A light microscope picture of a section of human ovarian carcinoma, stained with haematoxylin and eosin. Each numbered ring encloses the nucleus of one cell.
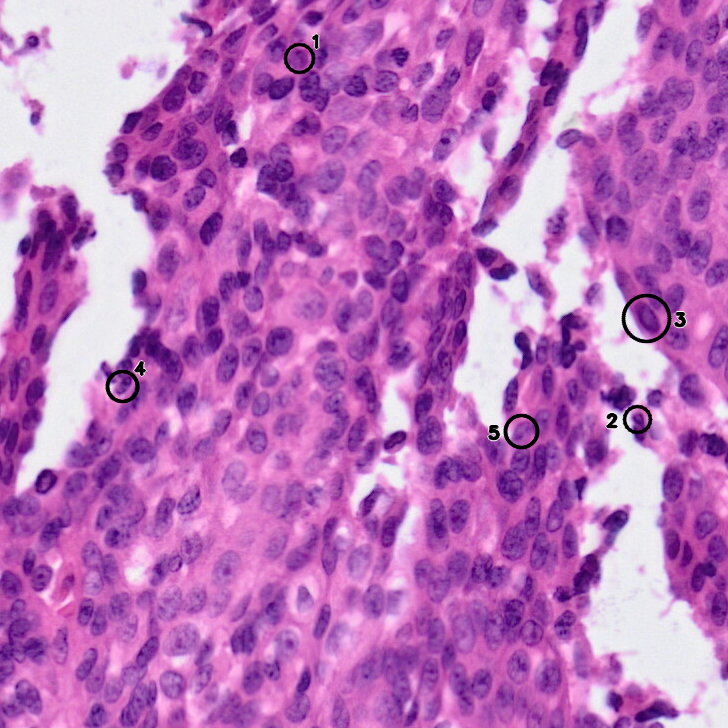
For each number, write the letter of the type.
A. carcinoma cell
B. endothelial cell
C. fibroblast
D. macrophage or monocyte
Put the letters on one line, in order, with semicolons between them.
A; D; A; D; A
